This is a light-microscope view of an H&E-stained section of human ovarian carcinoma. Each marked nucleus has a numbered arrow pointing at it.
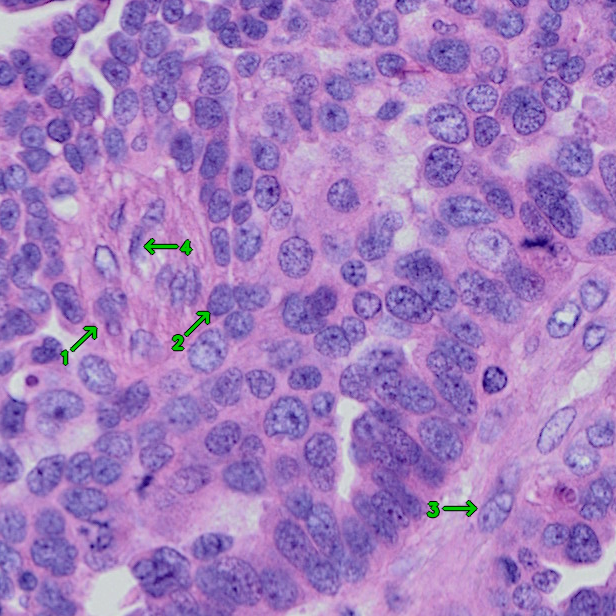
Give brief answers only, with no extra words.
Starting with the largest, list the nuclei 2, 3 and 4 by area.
3, 2, 4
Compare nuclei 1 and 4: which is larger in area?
1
